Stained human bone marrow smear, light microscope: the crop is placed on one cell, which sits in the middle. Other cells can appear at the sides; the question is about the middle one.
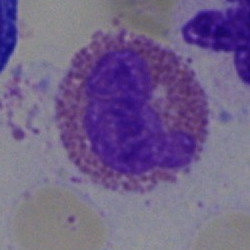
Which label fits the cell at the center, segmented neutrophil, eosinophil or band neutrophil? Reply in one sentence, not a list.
The central element of this crop is a cell, namely an eosinophil.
